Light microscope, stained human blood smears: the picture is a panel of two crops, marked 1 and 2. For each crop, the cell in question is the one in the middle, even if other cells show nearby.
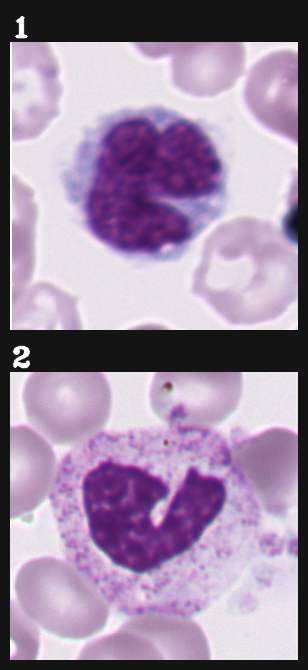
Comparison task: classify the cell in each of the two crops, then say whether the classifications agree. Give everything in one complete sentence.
No, for crop 1 the cell is a monocyte, and for crop 2 it is a band neutrophil.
